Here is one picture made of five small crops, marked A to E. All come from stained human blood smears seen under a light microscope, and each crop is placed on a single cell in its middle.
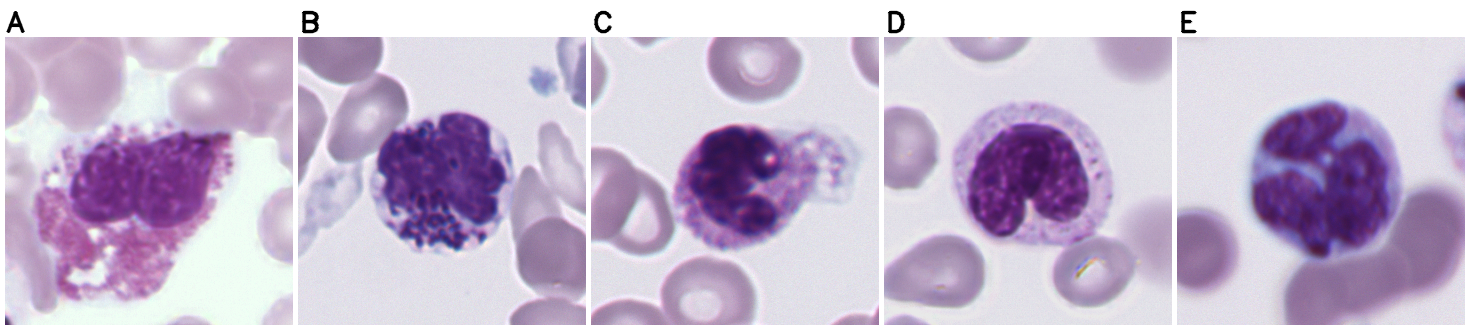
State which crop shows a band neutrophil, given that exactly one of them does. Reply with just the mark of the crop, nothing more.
D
